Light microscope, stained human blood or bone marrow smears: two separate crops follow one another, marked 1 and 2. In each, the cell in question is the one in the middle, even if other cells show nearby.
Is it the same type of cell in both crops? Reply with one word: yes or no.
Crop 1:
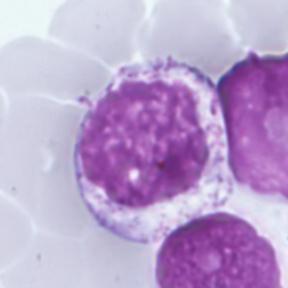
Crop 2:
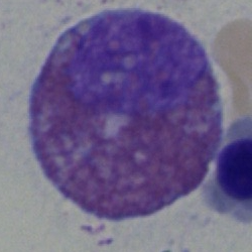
no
